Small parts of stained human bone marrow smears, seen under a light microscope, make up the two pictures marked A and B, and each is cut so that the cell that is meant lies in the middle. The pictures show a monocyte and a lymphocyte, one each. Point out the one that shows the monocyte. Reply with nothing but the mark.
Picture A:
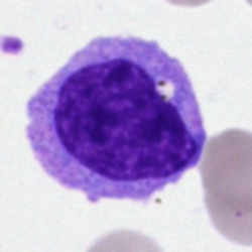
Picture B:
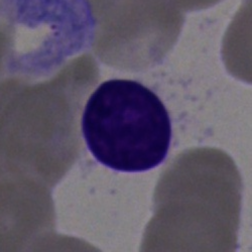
A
